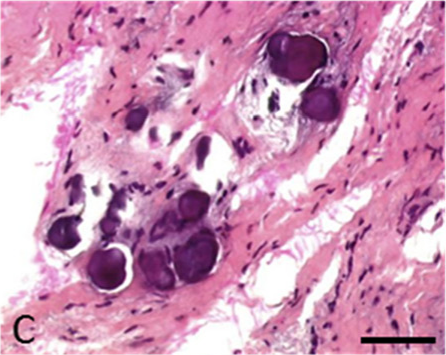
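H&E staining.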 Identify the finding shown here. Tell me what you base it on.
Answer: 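Ectopic calcification. A cluster of rounded, deep purple bodies. The bodies lie within pink fibrous tissue with spindle-shaped nuclei.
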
